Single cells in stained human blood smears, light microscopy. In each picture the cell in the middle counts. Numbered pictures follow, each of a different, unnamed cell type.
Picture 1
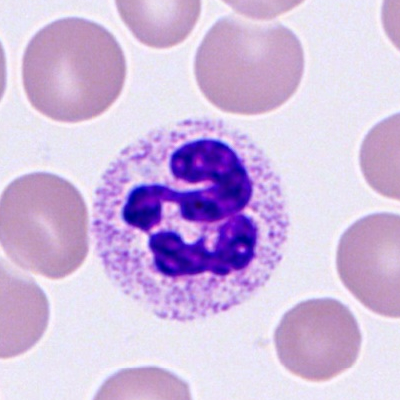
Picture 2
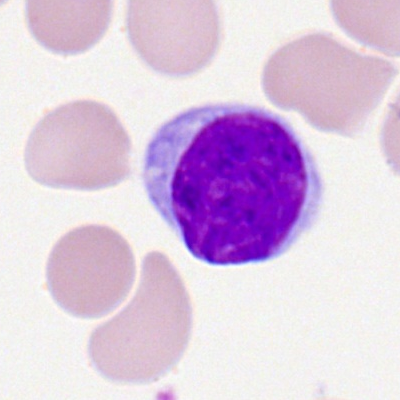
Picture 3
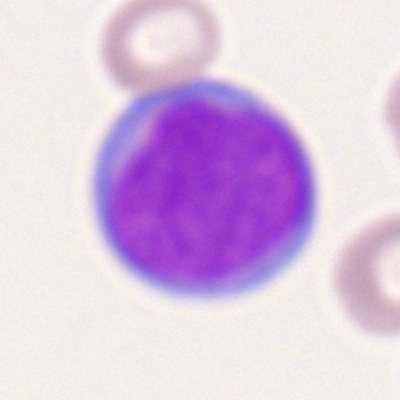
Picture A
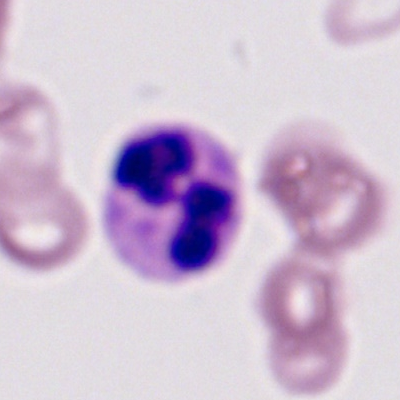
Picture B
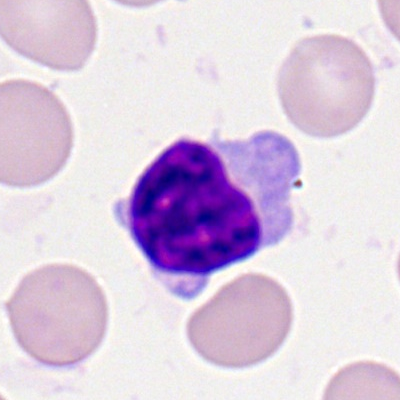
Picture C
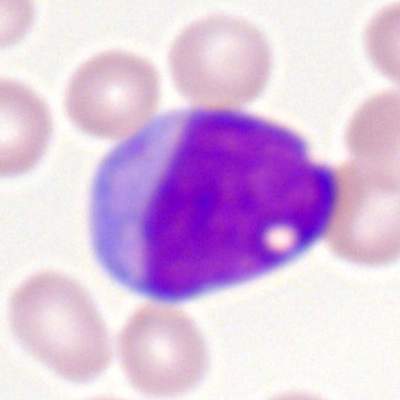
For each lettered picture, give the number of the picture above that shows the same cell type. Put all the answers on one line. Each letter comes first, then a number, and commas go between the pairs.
A 1, B 2, C 3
